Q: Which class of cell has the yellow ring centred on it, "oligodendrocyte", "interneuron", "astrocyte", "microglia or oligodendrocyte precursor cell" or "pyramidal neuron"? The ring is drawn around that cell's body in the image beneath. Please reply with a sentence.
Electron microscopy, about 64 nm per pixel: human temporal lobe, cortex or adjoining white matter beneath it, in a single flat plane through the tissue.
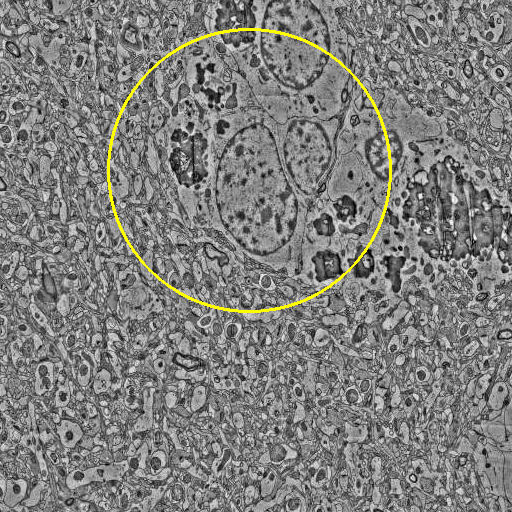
It is centred on an astrocyte.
